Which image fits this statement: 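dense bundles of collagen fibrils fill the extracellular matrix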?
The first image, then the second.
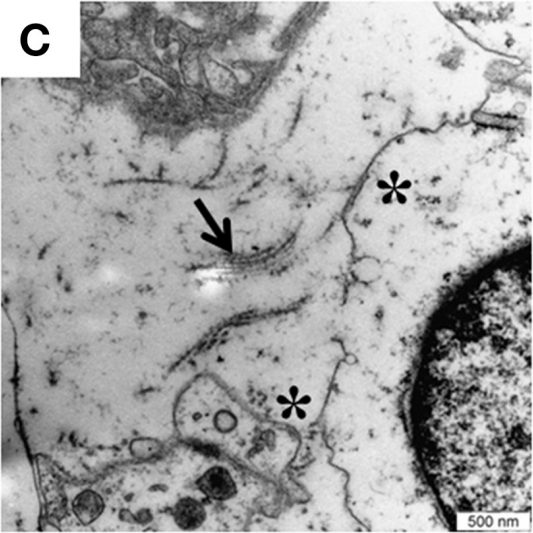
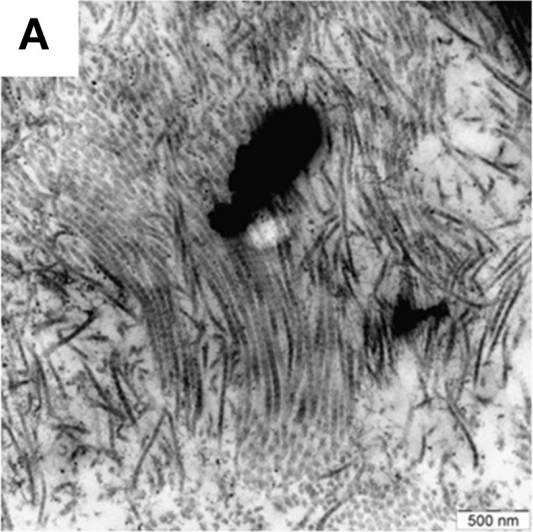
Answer: The second image.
